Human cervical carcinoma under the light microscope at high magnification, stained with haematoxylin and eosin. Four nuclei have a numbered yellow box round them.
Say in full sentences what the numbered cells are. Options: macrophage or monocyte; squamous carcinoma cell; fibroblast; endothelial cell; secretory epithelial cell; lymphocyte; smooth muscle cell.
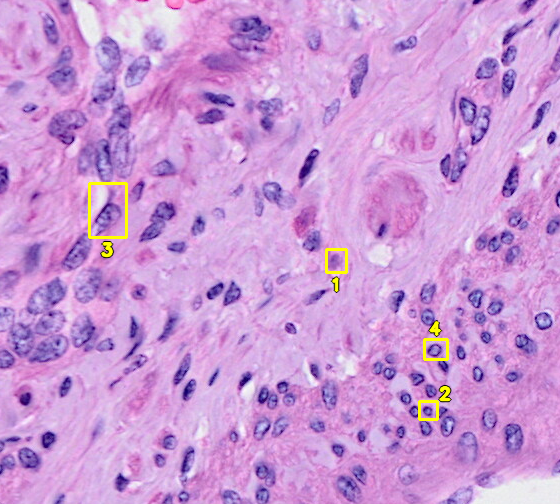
Cells 1, 2 and 4 are smooth muscle cells. Cell 3 is an endothelial cell.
